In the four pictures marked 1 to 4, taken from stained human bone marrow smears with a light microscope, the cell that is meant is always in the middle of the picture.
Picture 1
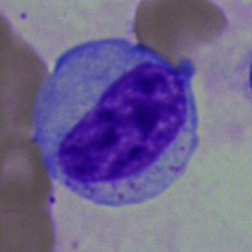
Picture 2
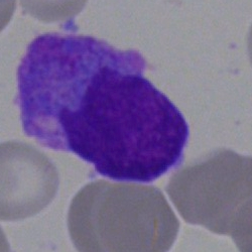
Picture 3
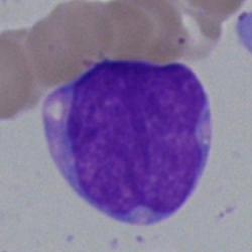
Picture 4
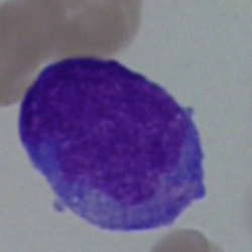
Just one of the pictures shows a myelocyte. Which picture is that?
1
